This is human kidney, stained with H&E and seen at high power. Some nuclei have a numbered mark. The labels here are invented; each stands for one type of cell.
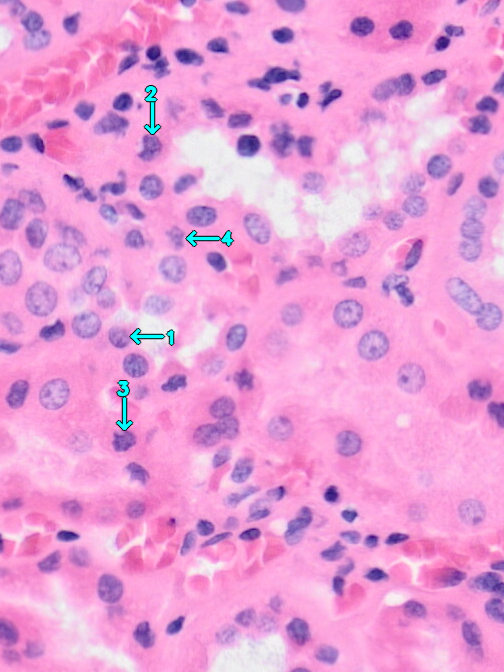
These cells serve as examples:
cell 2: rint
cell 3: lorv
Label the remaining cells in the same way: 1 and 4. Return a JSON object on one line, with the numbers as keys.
{"1": "rint", "4": "rint"}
